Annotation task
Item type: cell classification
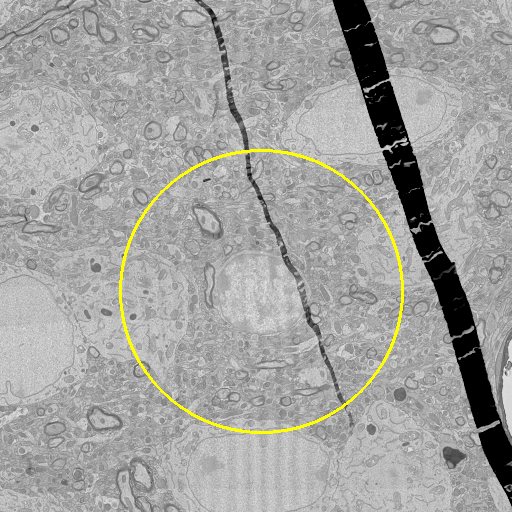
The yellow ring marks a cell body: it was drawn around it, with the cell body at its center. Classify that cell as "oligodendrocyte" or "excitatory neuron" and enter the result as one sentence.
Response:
The ring's center falls on an oligodendrocyte.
